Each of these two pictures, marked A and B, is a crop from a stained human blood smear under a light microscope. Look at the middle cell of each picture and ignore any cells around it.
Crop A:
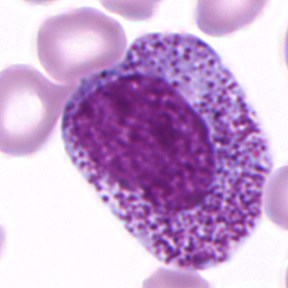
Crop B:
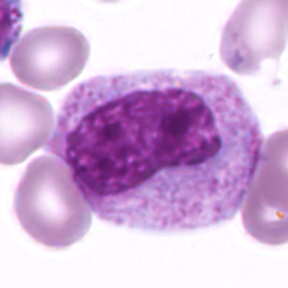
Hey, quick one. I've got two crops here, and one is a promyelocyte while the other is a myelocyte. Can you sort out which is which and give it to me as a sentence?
Crop A should be reported as a promyelocyte, and crop B as a myelocyte.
